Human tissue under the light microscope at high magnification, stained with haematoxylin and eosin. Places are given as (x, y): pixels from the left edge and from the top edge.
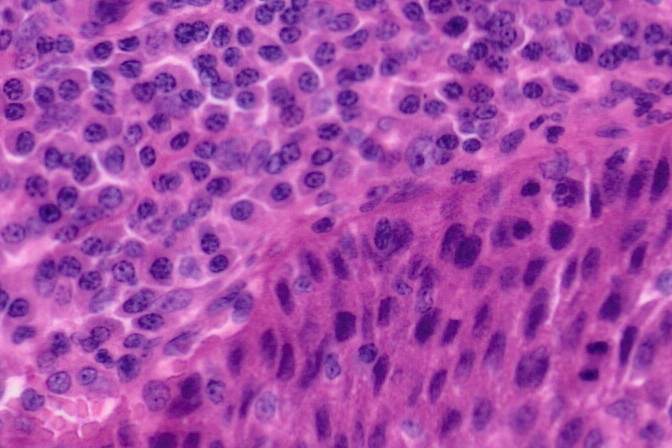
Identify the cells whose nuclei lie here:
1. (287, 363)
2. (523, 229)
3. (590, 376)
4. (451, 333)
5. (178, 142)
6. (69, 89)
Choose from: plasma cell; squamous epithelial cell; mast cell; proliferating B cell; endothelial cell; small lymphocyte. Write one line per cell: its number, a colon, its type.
1: squamous epithelial cell
2: squamous epithelial cell
3: squamous epithelial cell
4: squamous epithelial cell
5: plasma cell
6: plasma cell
